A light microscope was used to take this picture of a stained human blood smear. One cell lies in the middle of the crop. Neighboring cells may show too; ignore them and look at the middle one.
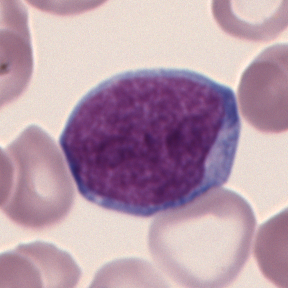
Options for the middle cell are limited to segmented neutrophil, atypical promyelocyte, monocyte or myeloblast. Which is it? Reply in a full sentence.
The crop shows a myeloblast in its centre.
